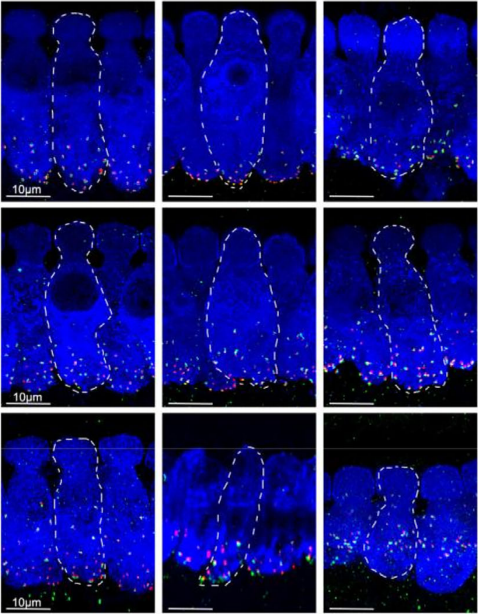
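A single row of inner hair cells fills each image with blue. Each cell is flask-shaped, with a narrow upper neck and a wider rounded base, and the middle cell of each image is traced by a white dashed line.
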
